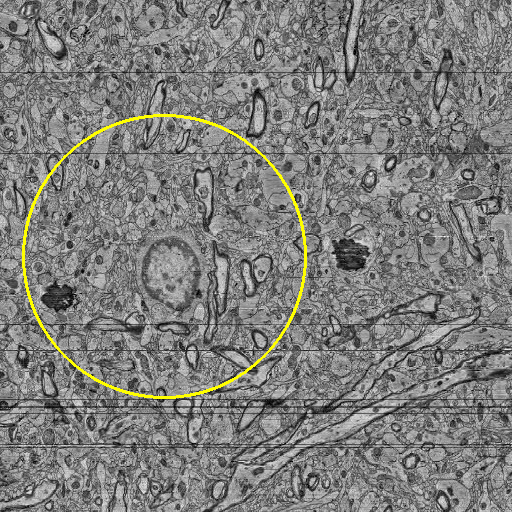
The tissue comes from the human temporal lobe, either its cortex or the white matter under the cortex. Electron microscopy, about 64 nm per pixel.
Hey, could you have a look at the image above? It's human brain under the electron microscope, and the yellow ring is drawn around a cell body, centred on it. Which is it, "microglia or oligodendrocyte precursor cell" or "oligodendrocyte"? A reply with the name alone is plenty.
oligodendrocyte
